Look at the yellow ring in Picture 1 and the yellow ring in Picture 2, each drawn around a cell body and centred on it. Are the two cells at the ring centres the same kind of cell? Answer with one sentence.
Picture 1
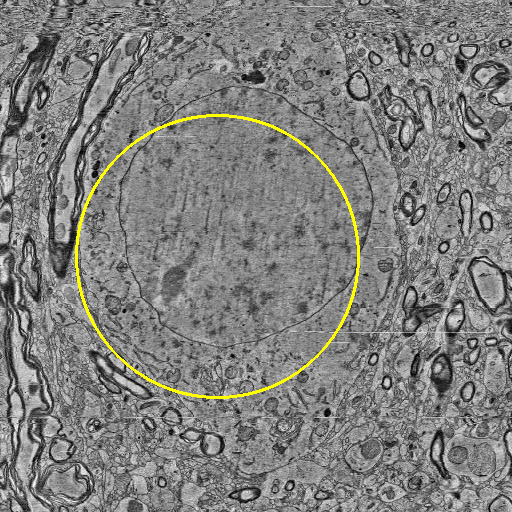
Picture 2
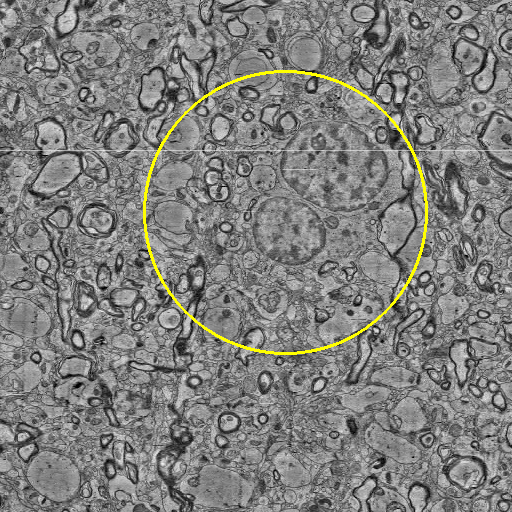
No, they are cells of two kinds.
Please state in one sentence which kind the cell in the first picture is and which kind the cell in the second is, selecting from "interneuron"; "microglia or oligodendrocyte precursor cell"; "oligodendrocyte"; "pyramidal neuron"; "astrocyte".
The first ringed cell is a pyramidal neuron, the second ringed cell an oligodendrocyte.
